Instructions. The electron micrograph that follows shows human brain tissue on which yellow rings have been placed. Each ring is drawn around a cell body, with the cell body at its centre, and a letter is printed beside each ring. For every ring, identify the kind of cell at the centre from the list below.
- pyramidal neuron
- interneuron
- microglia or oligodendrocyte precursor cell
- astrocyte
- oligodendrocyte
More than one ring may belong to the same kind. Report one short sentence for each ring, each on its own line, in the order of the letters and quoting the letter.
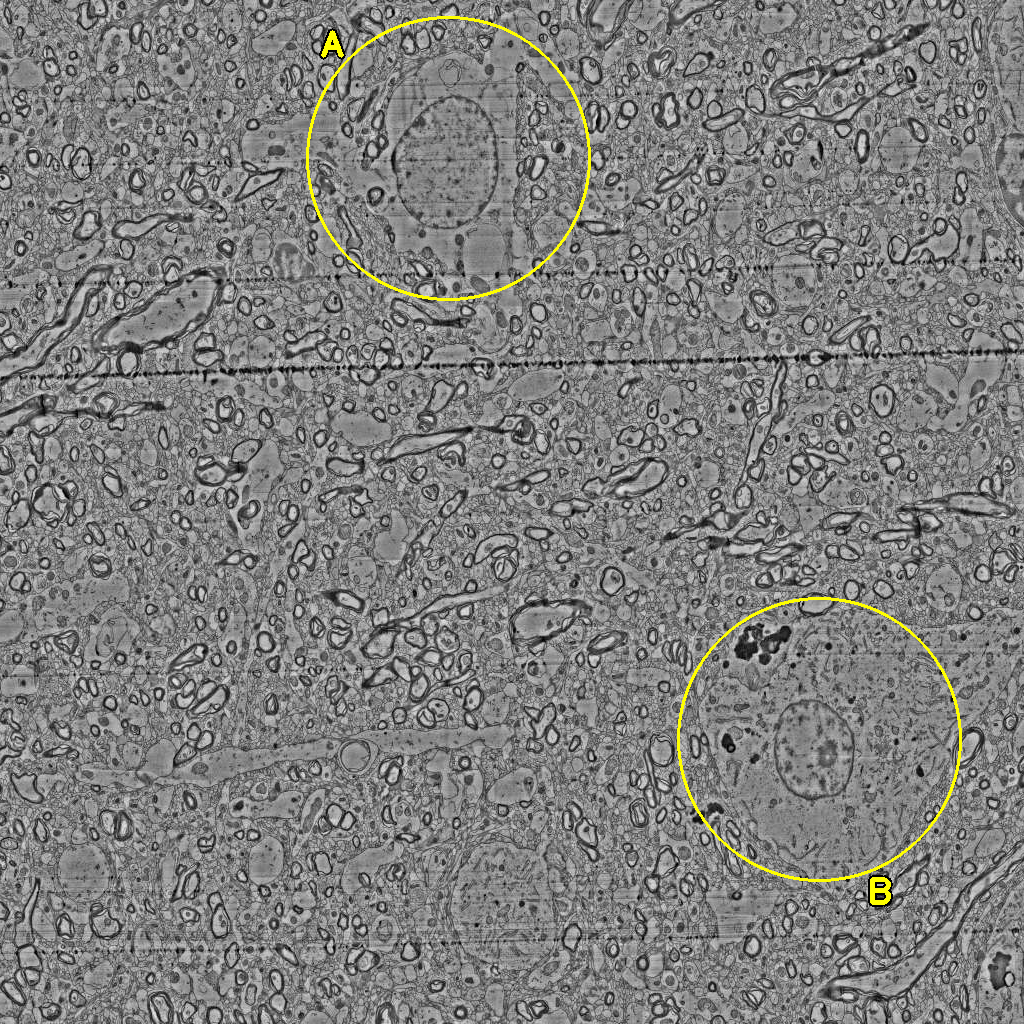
The centre of ring A is occupied by an astrocyte.
The centre of ring B is occupied by a pyramidal neuron.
